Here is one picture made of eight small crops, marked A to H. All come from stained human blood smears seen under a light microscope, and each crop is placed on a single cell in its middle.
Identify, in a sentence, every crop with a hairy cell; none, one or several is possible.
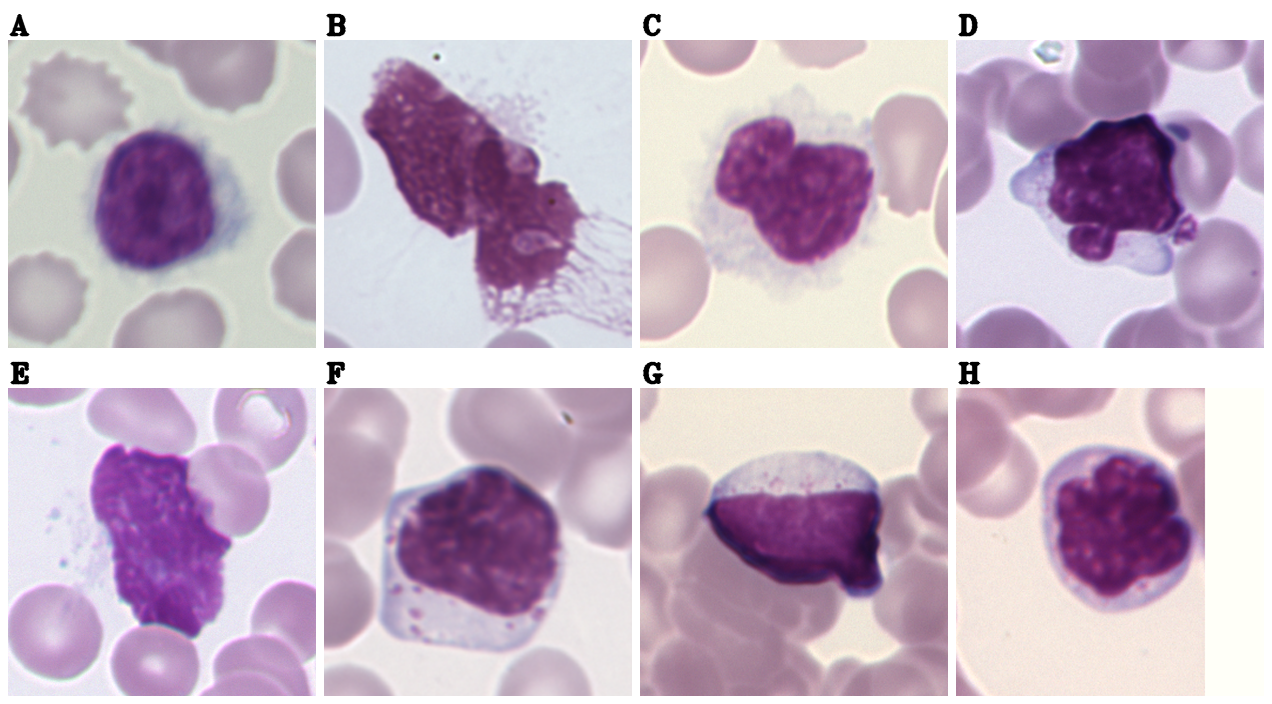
The centred cells of crops A and C are hairy cells.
